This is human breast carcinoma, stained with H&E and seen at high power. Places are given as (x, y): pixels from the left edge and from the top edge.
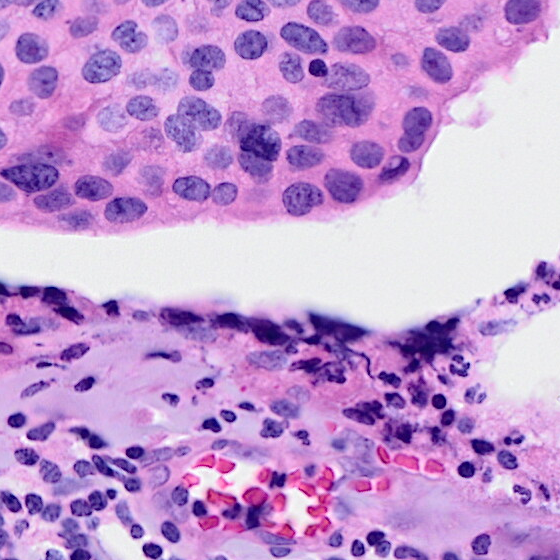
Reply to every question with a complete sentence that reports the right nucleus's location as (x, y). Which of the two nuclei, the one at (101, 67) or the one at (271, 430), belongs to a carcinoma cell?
The correct choice is the nucleus at (101, 67), which belongs to a carcinoma cell.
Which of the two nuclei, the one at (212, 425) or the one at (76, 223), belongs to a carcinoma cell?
The nucleus of a carcinoma cell lies at (76, 223), not at the other position.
